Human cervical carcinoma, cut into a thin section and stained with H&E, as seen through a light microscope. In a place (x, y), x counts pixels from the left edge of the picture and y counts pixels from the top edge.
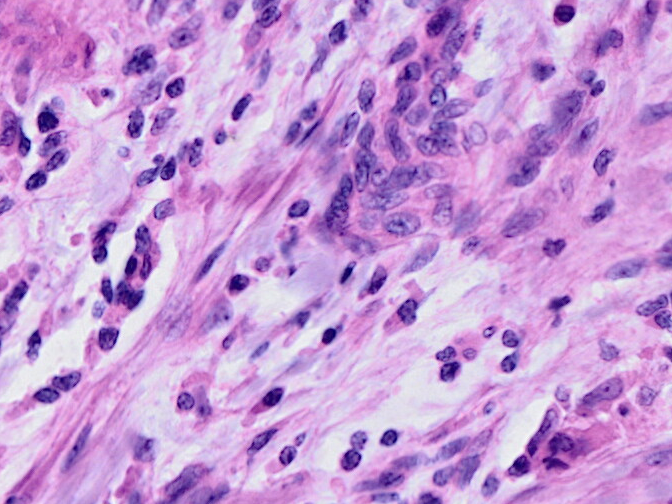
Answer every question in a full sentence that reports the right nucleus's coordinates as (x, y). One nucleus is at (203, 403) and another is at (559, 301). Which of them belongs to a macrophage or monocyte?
Of the two nuclei, the one sitting at (203, 403) belongs to a macrophage or monocyte.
